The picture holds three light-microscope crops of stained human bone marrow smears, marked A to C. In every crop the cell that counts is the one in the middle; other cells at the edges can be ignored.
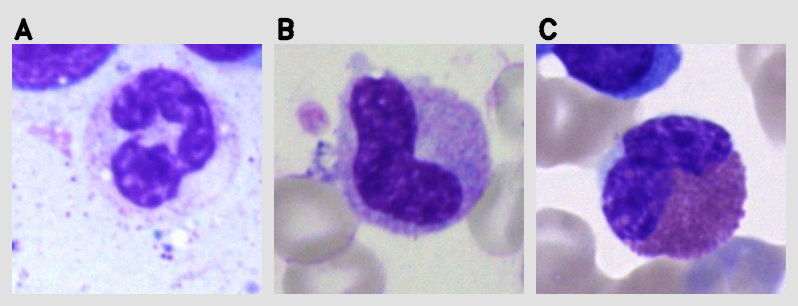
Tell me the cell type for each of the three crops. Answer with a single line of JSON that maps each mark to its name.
{"A": "segmented neutrophil", "B": "band neutrophil", "C": "eosinophil"}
